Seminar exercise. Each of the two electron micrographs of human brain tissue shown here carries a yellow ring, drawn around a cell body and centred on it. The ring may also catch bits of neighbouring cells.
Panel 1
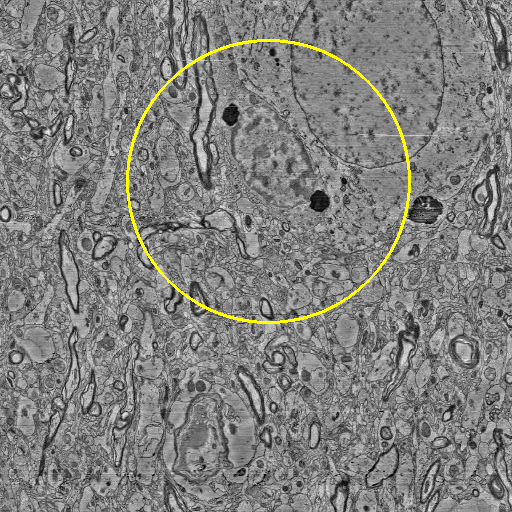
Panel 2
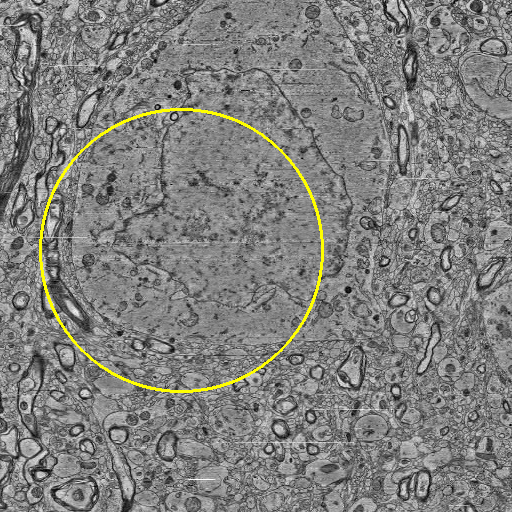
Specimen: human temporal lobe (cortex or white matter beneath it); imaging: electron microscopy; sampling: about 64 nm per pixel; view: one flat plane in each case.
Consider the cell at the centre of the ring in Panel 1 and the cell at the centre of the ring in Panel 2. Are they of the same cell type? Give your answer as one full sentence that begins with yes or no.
No, the two cells are of two types.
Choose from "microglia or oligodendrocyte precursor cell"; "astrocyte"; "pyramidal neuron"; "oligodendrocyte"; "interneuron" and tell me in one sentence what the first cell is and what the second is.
What the first ring is centred on is an oligodendrocyte; what the second ring is centred on is a pyramidal neuron.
